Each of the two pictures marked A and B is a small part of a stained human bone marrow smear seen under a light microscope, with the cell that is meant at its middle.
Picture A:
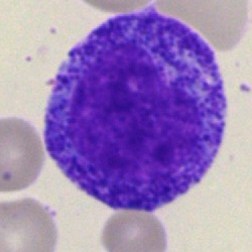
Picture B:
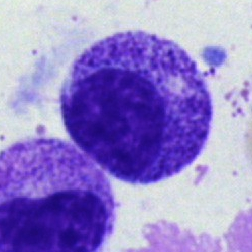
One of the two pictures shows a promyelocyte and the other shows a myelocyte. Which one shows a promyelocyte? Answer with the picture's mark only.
A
